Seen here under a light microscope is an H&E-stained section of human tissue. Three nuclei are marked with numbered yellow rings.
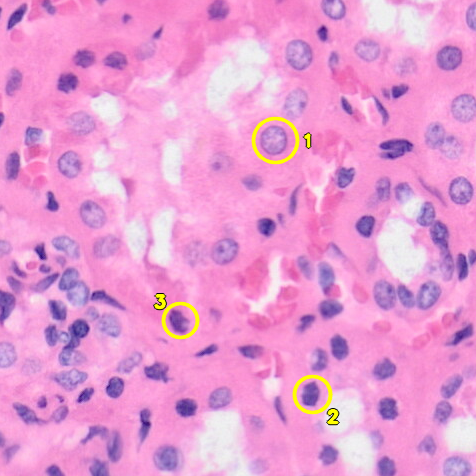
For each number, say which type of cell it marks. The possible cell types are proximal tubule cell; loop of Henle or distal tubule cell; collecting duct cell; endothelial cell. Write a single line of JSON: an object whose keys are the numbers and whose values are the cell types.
{"1": "proximal tubule cell", "2": "loop of Henle or distal tubule cell", "3": "proximal tubule cell"}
